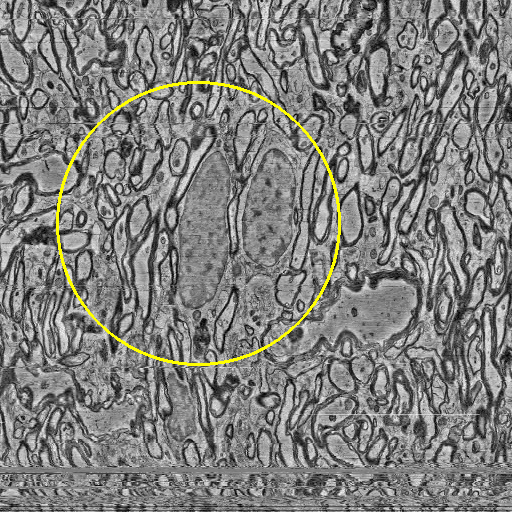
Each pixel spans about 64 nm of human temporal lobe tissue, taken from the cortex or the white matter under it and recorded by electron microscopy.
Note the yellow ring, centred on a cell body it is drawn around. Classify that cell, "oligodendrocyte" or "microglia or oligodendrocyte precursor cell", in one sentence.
The cell the ring is centred on is an oligodendrocyte.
